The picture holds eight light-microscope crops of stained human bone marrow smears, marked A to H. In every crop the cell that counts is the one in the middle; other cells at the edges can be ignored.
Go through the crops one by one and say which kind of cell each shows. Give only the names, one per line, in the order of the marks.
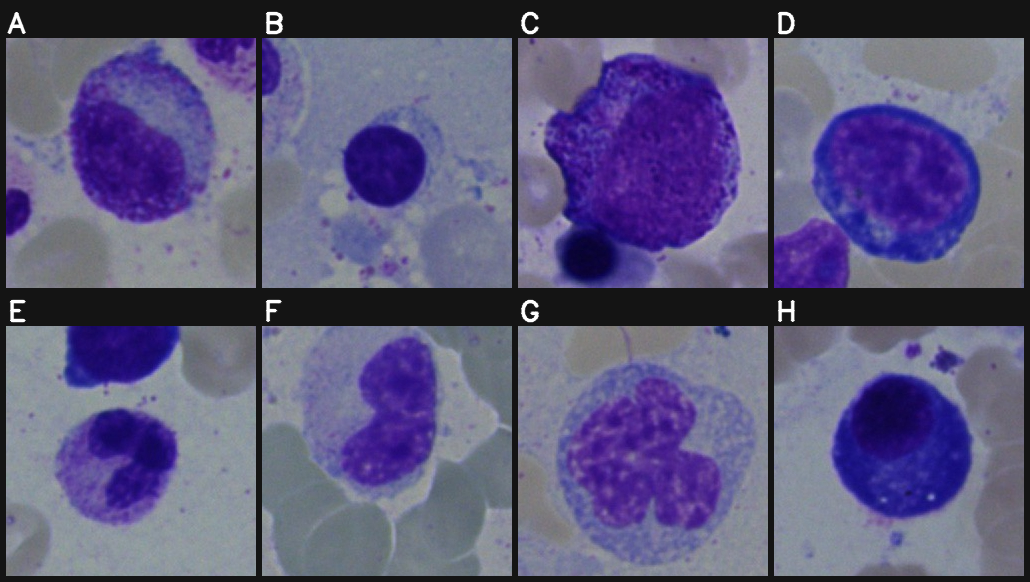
myelocyte
lymphocyte
promyelocyte
proerythroblast
band neutrophil
metamyelocyte
monocyte
plasma cell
